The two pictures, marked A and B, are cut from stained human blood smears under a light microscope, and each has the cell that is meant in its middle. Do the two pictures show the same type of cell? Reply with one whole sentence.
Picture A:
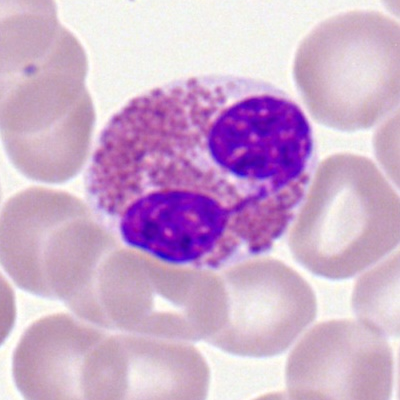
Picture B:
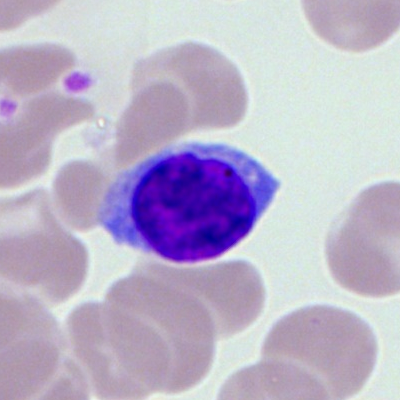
No. Picture A shows an eosinophil, but picture B shows a lymphocyte.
